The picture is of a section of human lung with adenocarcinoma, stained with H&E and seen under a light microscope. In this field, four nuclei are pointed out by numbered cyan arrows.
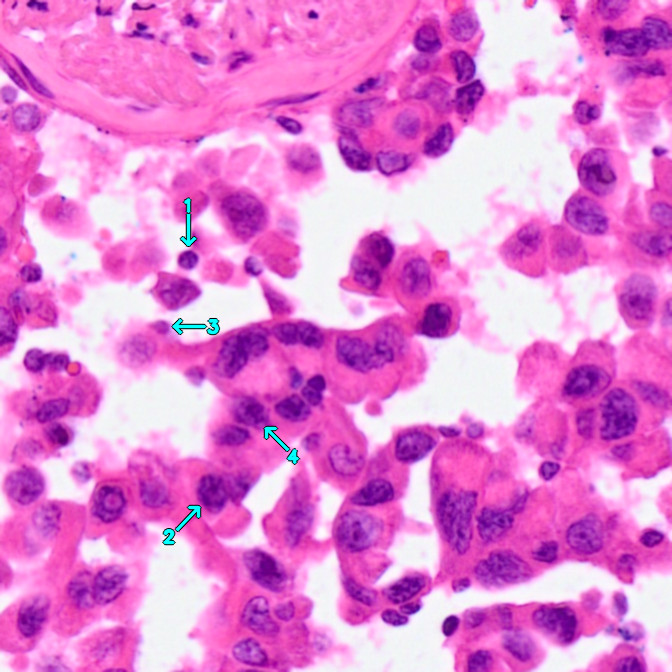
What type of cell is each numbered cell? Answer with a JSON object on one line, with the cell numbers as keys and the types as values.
{"1": "lymphocyte", "2": "carcinoma cell", "3": "carcinoma cell", "4": "carcinoma cell"}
